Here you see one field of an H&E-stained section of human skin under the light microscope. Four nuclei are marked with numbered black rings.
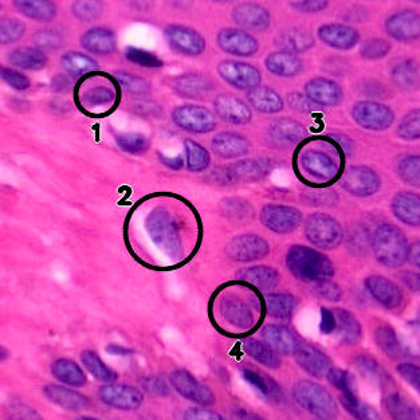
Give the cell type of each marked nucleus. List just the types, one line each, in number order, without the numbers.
basal keratinocyte
fibroblast
suprabasal keratinocyte
basal keratinocyte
